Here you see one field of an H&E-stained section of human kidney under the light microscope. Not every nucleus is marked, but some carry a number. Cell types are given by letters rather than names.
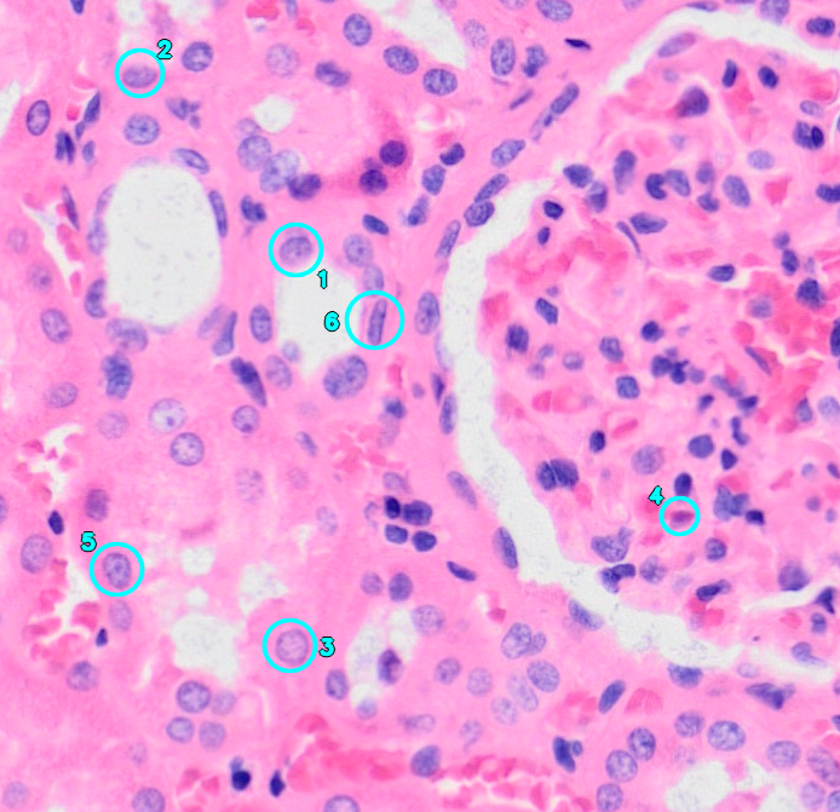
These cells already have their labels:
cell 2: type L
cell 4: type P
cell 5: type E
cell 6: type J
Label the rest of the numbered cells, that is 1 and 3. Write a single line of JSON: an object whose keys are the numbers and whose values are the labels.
{"1": "type J", "3": "type E"}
